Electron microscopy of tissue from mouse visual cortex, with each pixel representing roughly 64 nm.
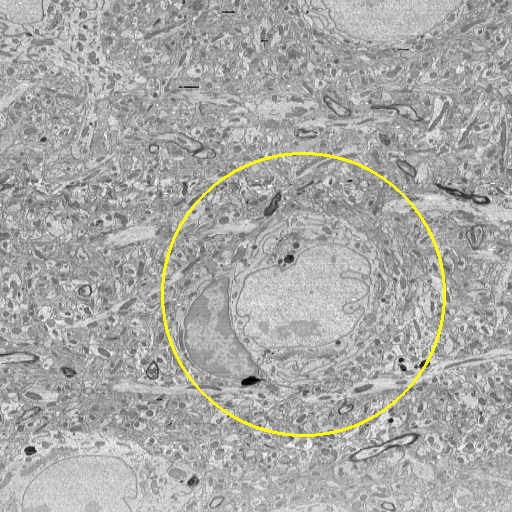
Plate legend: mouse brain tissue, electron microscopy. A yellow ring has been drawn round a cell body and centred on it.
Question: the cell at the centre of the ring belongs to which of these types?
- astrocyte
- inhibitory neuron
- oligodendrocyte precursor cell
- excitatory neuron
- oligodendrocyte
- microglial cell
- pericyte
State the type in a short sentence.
The cell in the middle of the ring is an inhibitory neuron.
